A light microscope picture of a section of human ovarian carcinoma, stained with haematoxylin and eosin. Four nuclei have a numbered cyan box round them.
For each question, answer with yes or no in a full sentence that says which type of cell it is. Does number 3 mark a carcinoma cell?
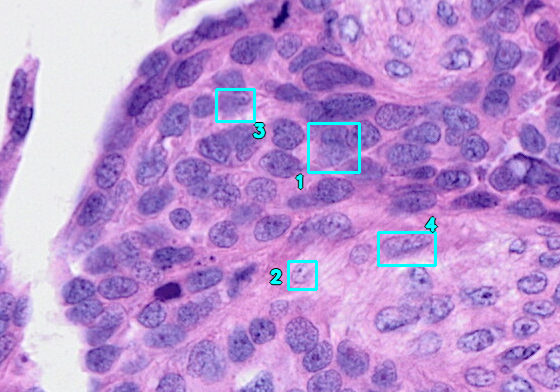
Yes, the cell whose nucleus carries number 3 is a carcinoma cell.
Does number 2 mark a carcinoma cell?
No, the cell marked 2 is a fibroblast rather than a carcinoma cell.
